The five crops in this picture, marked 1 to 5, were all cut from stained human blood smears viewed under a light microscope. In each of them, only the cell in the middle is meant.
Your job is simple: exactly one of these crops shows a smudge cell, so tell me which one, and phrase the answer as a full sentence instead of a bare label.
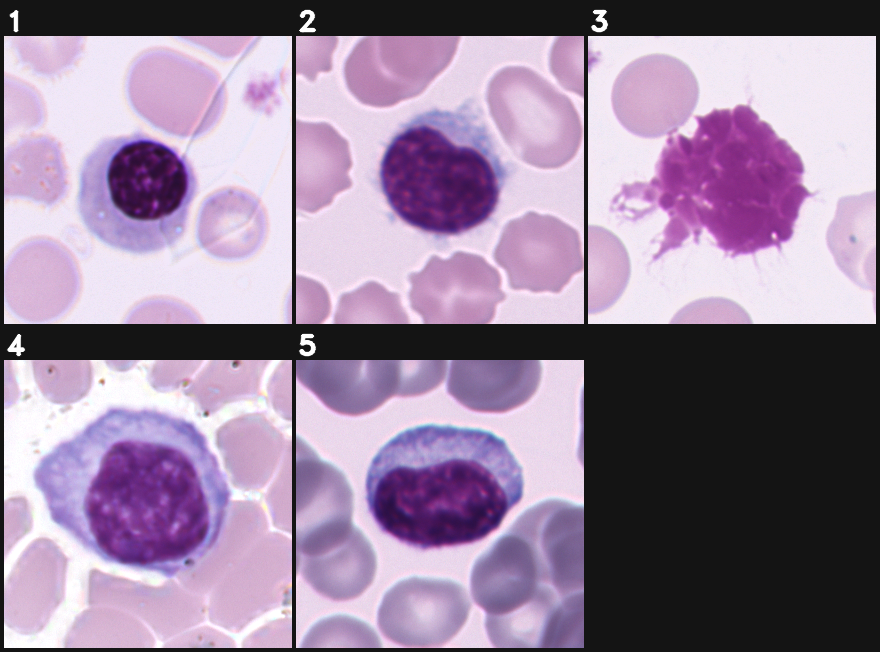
Crop 3 is where a smudge cell is to be found.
